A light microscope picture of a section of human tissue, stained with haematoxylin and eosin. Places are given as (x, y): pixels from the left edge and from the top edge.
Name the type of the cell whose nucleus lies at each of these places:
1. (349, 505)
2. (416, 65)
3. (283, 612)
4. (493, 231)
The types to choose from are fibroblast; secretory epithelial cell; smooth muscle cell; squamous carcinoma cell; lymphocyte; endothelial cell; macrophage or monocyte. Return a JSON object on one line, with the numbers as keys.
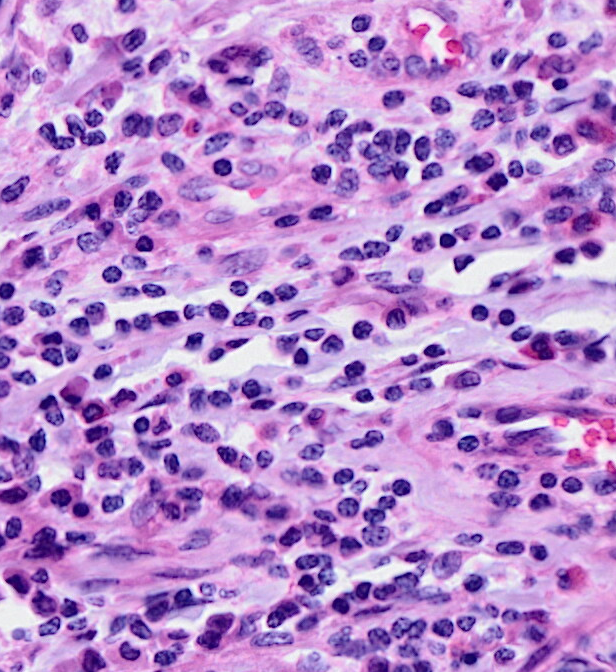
{"1": "lymphocyte", "2": "endothelial cell", "3": "lymphocyte", "4": "lymphocyte"}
